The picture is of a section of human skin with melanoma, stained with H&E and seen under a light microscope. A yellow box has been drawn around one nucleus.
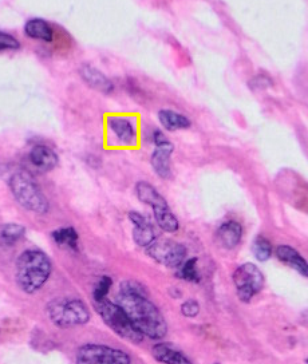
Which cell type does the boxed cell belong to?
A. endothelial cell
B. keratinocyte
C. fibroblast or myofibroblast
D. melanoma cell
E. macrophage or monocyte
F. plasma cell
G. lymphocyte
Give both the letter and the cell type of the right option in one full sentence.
In this case the boxed cell is a macrophage or monocyte, so option E is correct.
